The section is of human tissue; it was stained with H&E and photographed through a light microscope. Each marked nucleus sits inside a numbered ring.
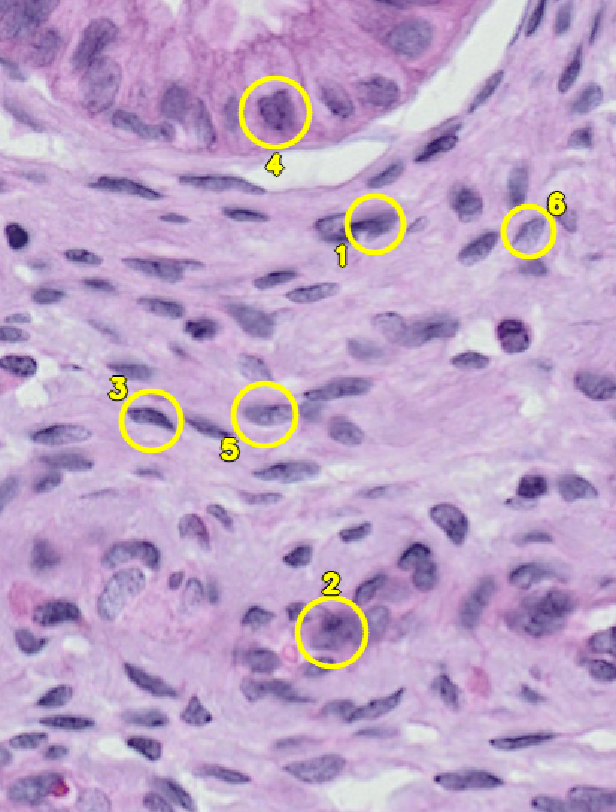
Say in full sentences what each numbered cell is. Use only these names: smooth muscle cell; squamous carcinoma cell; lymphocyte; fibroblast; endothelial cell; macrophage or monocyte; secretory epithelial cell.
Cell 1 is a fibroblast, cell 2 is an endothelial cell, cell 3 is a fibroblast, cell 4 is a secretory epithelial cell, cell 5 is a fibroblast and cell 6 is a fibroblast.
